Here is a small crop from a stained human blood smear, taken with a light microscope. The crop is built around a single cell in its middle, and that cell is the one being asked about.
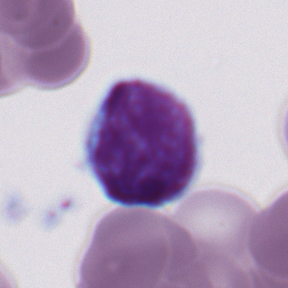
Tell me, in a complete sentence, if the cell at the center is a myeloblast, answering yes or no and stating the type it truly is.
No, the centered cell is a typical lymphocyte and not a myeloblast at all.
